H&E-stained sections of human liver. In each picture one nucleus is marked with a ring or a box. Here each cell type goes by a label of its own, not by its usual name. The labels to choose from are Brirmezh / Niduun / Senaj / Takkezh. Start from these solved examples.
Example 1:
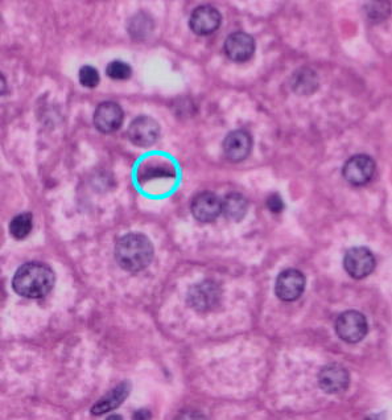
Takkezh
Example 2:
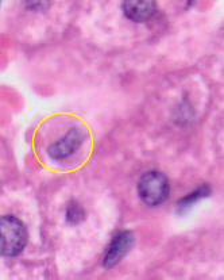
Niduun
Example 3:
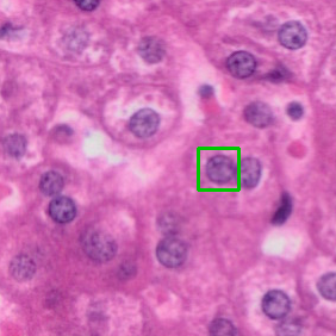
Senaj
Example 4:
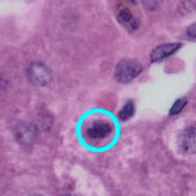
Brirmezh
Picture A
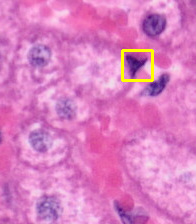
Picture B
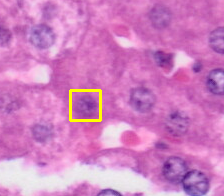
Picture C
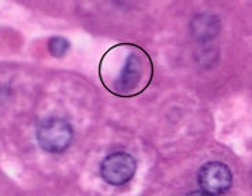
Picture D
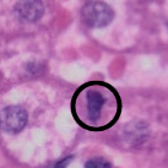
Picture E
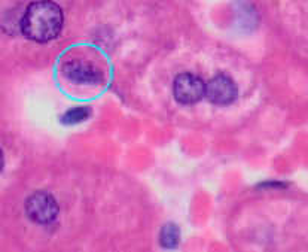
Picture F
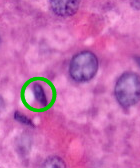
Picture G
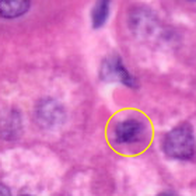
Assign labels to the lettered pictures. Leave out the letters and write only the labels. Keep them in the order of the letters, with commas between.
Takkezh, Senaj, Takkezh, Brirmezh, Brirmezh, Brirmezh, Brirmezh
